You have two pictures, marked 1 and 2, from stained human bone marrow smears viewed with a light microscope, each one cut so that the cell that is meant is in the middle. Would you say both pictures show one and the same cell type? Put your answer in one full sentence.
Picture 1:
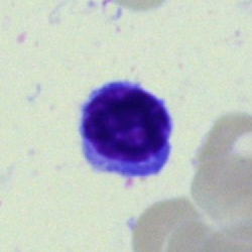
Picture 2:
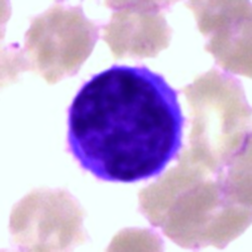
Yes, both cells are lymphocytes.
